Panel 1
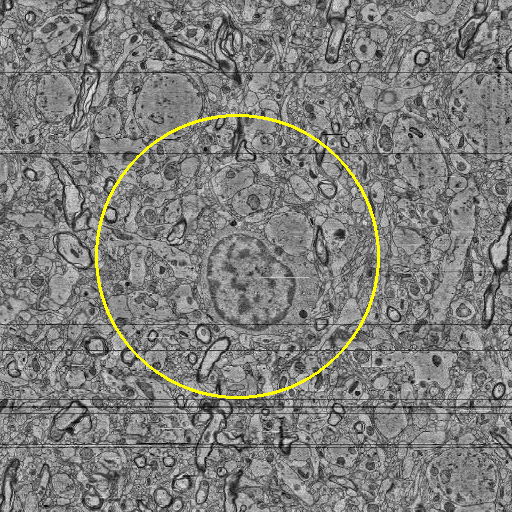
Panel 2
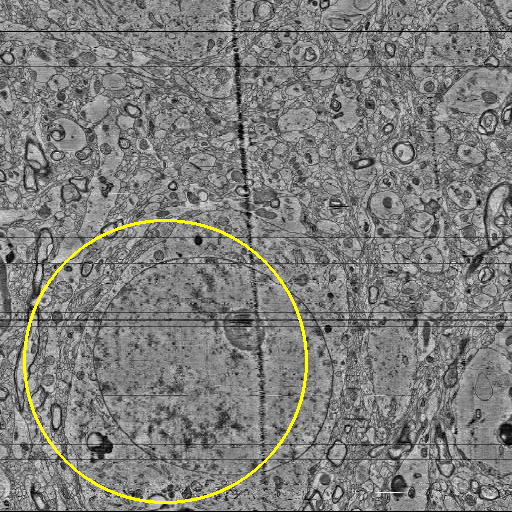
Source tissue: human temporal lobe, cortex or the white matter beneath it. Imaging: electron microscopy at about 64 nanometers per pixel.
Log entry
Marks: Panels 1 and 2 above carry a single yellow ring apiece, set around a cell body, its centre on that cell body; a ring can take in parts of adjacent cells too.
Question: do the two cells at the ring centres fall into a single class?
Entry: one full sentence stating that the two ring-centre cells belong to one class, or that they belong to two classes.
The two ring-centre cells in Panels 1 and 2 belong to two classes.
